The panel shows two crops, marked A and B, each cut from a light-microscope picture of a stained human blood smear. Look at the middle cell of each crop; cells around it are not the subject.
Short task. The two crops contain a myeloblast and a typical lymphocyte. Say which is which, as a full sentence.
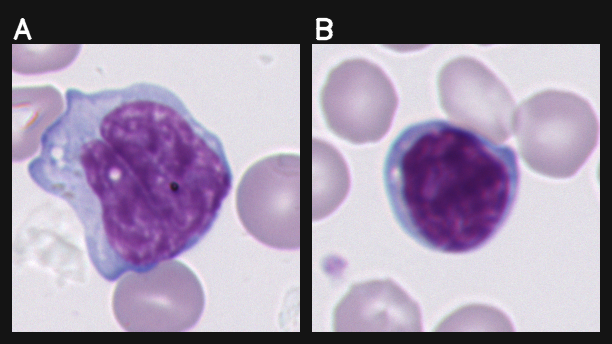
The centred cell is a myeloblast in crop A and a typical lymphocyte in crop B.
